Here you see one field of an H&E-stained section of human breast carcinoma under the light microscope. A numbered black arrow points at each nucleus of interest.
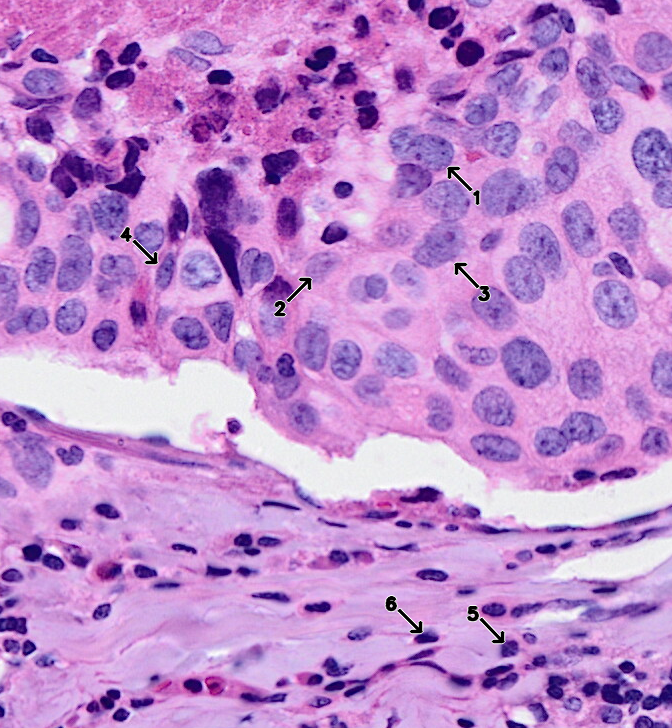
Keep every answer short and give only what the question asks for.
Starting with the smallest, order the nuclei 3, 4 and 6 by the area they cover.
6, 4, 3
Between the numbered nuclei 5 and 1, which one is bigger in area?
1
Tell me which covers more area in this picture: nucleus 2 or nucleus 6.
2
